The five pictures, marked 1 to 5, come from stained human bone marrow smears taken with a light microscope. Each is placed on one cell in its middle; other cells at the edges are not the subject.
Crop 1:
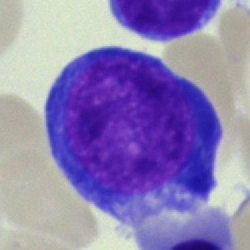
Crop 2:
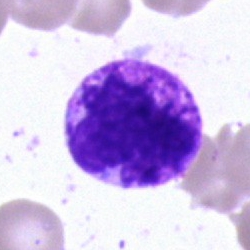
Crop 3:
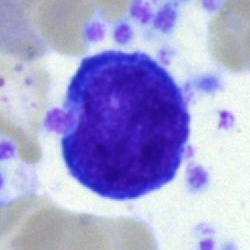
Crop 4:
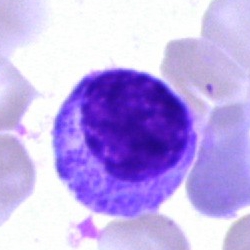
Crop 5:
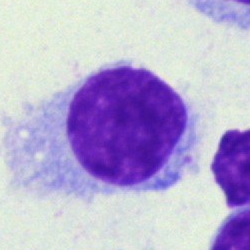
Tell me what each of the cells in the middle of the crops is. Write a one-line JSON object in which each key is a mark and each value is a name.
{"1": "proerythroblast", "2": "basophil", "3": "proerythroblast", "4": "myelocyte", "5": "hairy cell"}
